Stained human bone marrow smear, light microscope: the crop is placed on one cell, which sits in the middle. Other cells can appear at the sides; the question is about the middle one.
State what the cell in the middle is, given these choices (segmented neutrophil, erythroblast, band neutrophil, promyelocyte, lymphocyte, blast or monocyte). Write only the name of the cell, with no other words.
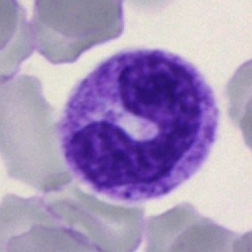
band neutrophil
